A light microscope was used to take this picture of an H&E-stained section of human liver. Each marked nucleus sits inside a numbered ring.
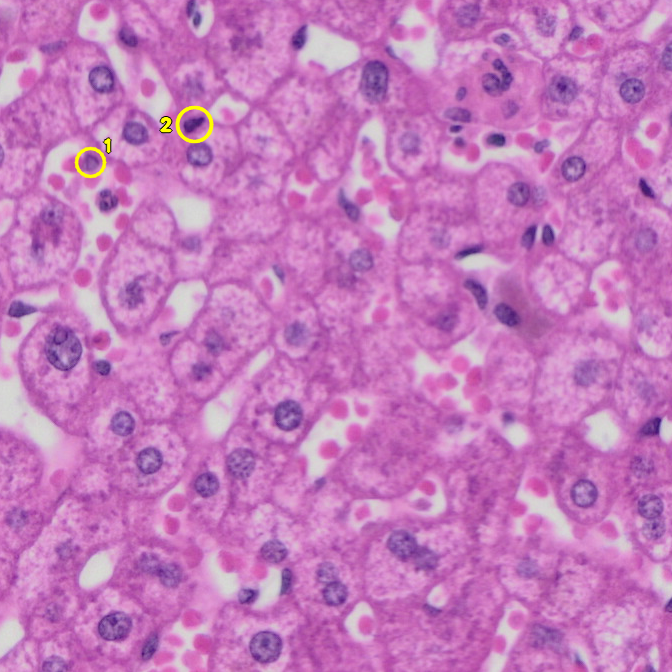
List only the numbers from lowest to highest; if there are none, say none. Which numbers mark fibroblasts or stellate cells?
2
